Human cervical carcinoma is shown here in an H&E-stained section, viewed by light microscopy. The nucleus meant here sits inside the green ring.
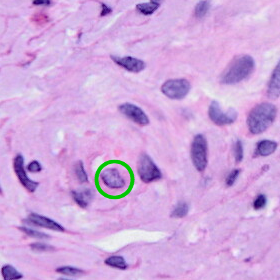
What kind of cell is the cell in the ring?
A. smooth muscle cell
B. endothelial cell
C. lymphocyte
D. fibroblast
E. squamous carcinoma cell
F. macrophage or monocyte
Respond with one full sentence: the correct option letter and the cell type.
Option B wins here: the cell in the ring is an endothelial cell.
